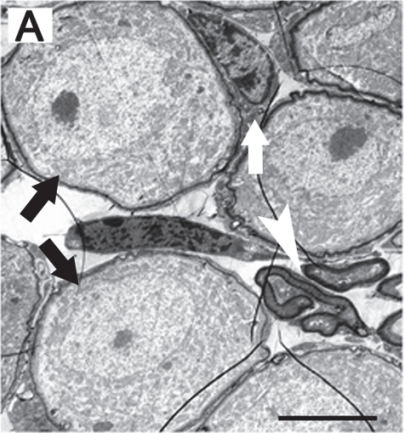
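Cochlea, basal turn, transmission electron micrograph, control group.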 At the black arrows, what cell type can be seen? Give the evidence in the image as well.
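Large round cell bodies with a pale, finely granular cytoplasm. Each has a round nucleus with a dark nucleolus. The cell bodies are wrapped by a thin dark rim of satellite cytoplasm. On this evidence: spiral ganglion cells.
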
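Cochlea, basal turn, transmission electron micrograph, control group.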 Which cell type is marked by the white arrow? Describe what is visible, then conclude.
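Schwann cell. A flattened, elongated cell with a dark, heterochromatic nucleus. It lies pressed between the large neuronal cell bodies.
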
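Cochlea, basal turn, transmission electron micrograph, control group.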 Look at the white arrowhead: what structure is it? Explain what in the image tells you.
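Small profiles ringed by thick, electron-dense sheaths. They lie in the spaces between the large cell bodies.
Myelinated nerve fibers.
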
